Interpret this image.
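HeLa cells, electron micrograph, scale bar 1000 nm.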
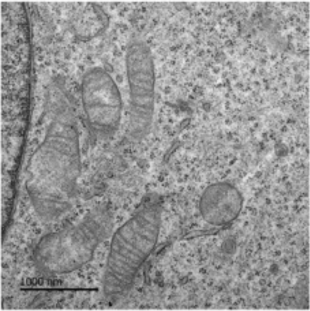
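Inside, the cristae run as fine lines across the matrix, mostly at right angles to the long axis. Around them the cytoplasm is finely granular, densely packed with small dark particles that are mostly ribosomes, along with a few small membrane vesicles. At the left edge a curved line marks the boundary of the nucleus.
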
